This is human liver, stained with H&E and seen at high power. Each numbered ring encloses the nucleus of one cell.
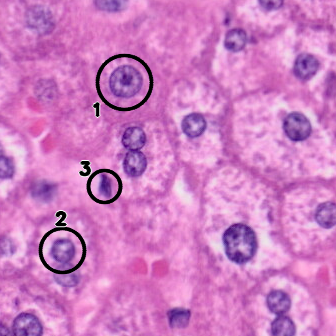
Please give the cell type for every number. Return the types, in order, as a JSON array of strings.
["hepatocyte", "hepatocyte", "endothelial cell"]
